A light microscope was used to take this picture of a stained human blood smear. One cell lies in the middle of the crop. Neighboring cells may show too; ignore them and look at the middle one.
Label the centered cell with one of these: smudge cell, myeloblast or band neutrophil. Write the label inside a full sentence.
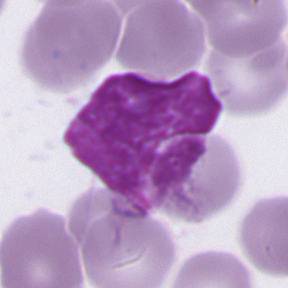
The central cell shown in this smear crop is a smudge cell.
